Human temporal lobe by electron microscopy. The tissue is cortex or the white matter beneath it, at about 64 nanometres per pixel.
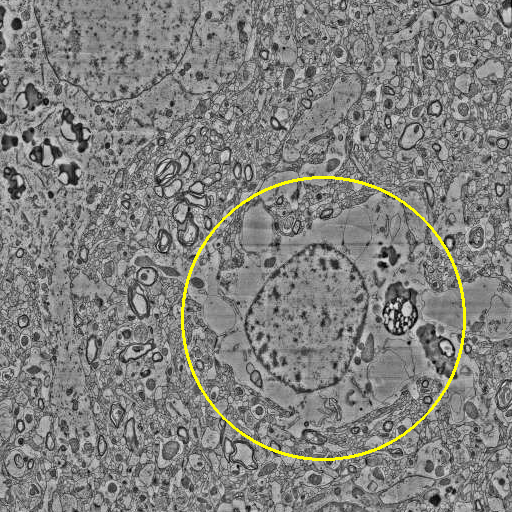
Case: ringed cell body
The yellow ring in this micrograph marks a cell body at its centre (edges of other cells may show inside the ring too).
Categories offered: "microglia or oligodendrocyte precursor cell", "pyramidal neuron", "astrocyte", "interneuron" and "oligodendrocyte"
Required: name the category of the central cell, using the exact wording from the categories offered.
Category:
astrocyte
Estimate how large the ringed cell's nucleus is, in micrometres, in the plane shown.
Approximately 9 micrometres long and 8 micrometres wide, in this plane.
